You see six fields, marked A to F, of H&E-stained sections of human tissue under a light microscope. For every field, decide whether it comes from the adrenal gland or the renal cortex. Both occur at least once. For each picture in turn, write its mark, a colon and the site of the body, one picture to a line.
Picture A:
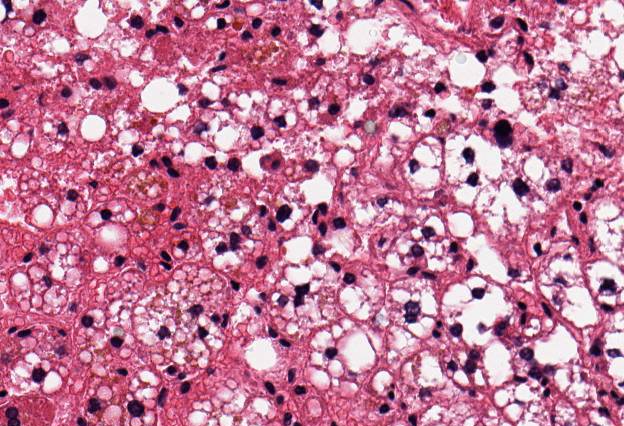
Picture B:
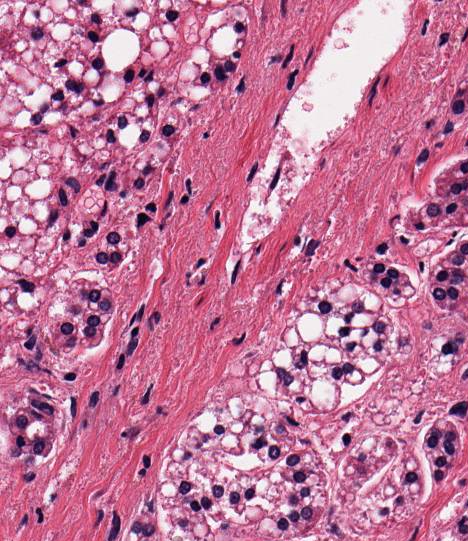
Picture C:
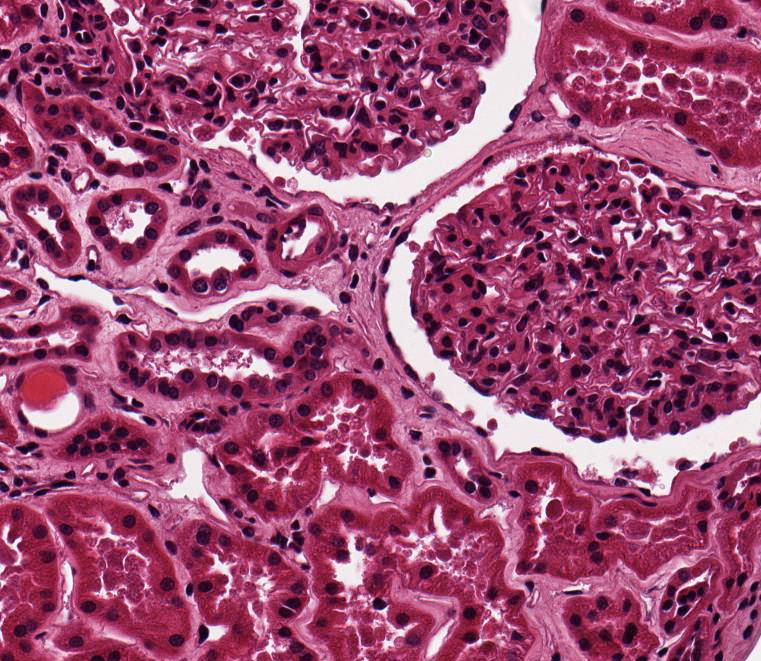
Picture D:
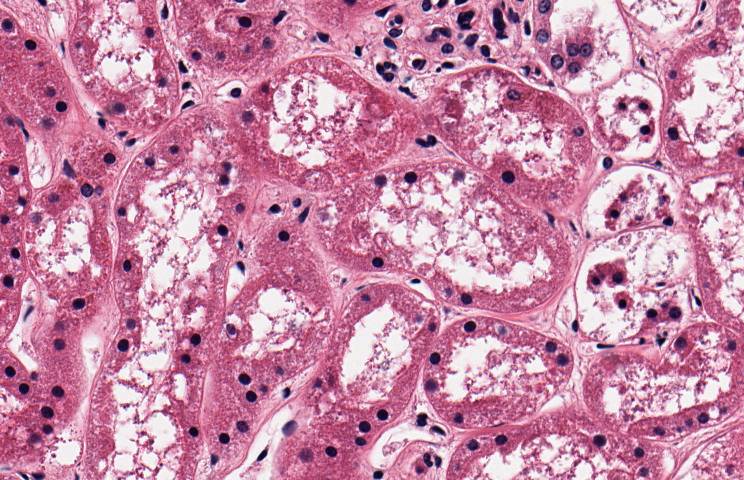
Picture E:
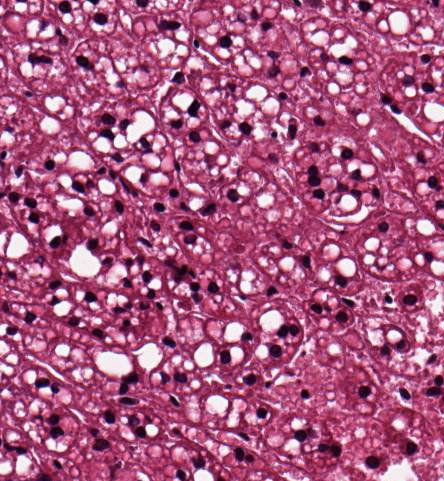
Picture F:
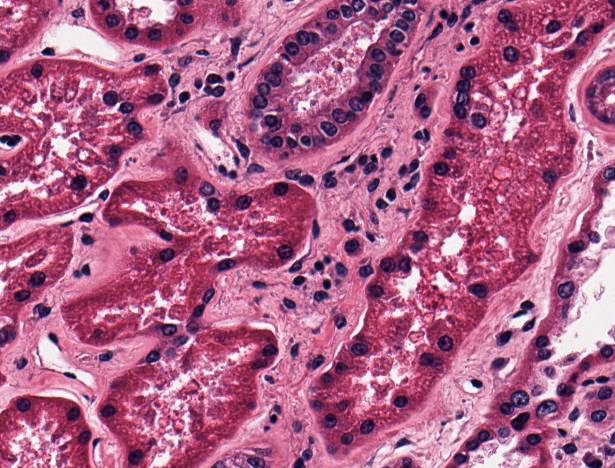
A: adrenal gland
B: adrenal gland
C: renal cortex
D: renal cortex
E: adrenal gland
F: renal cortex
